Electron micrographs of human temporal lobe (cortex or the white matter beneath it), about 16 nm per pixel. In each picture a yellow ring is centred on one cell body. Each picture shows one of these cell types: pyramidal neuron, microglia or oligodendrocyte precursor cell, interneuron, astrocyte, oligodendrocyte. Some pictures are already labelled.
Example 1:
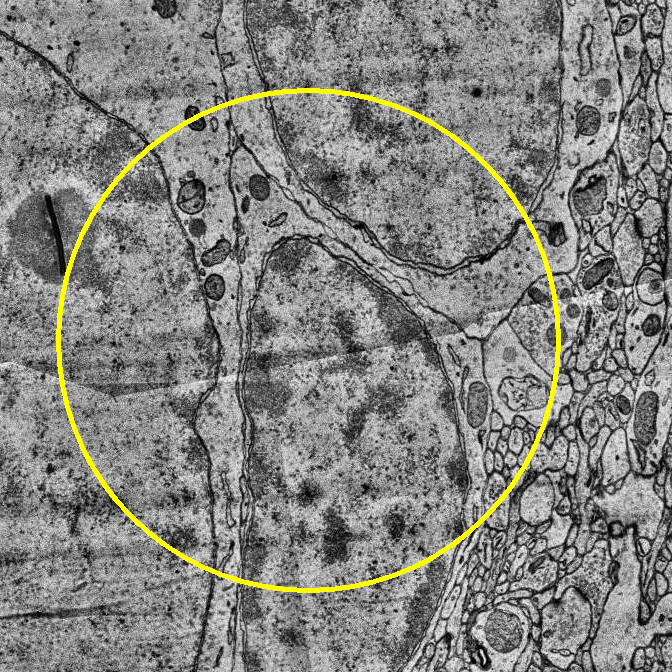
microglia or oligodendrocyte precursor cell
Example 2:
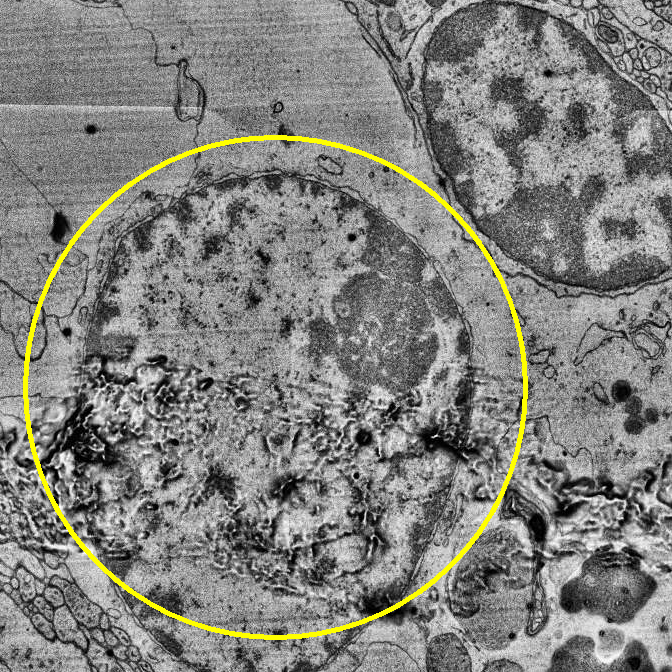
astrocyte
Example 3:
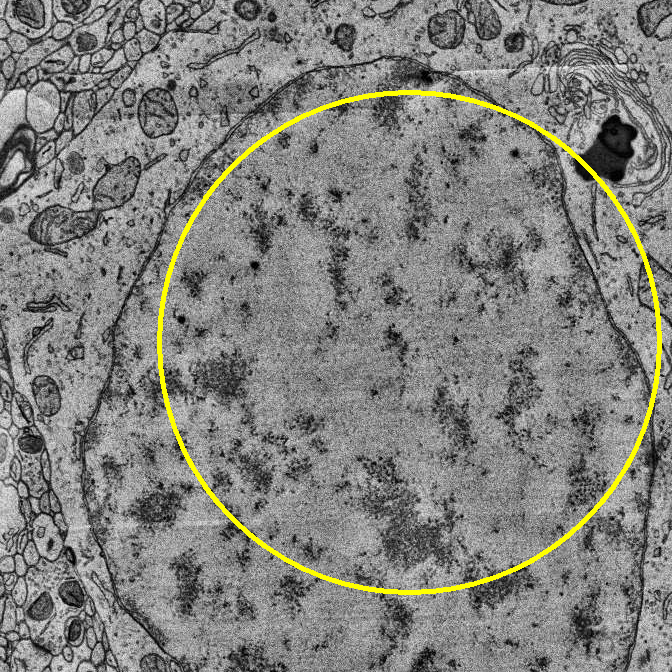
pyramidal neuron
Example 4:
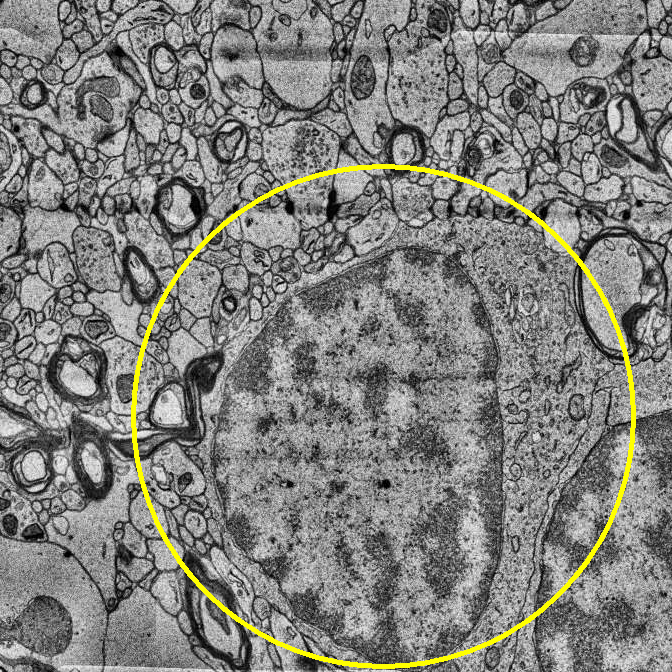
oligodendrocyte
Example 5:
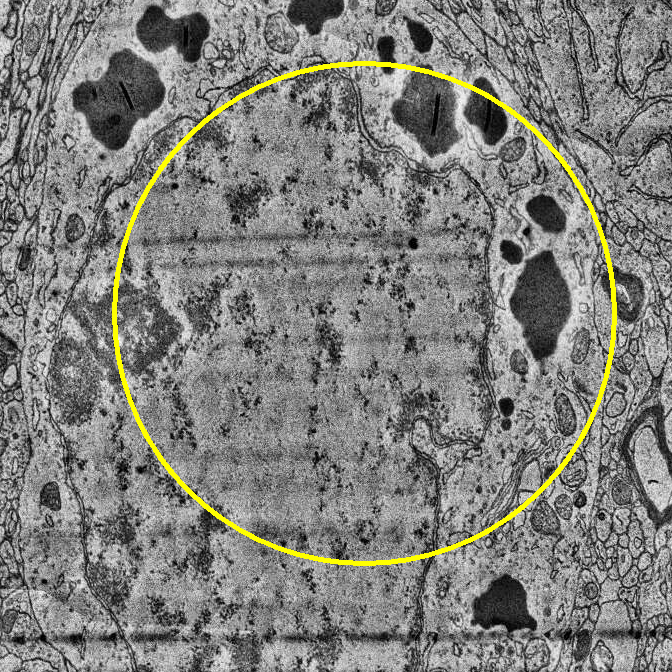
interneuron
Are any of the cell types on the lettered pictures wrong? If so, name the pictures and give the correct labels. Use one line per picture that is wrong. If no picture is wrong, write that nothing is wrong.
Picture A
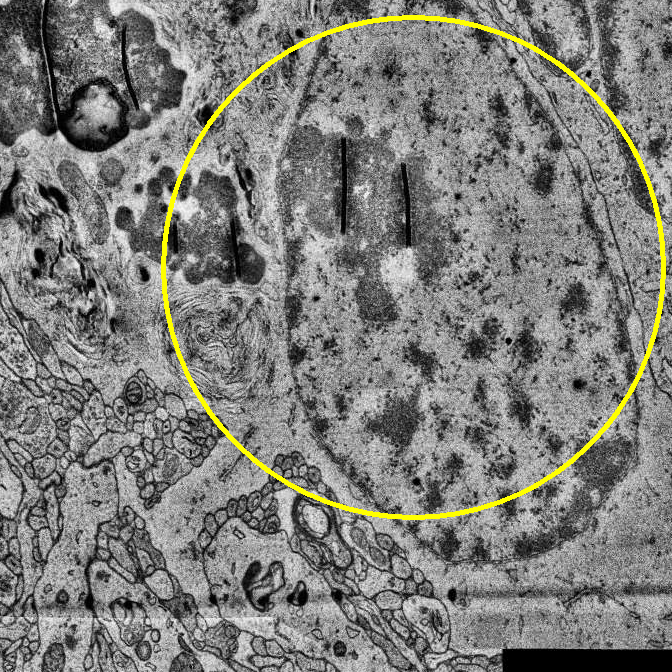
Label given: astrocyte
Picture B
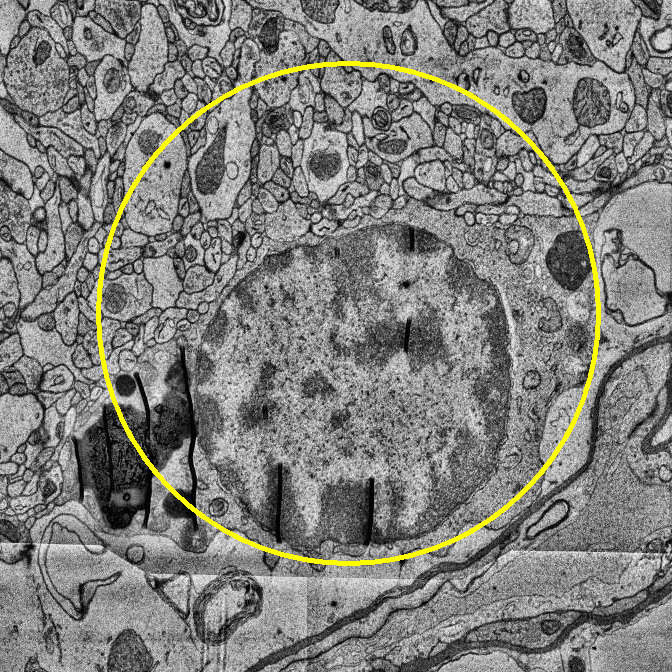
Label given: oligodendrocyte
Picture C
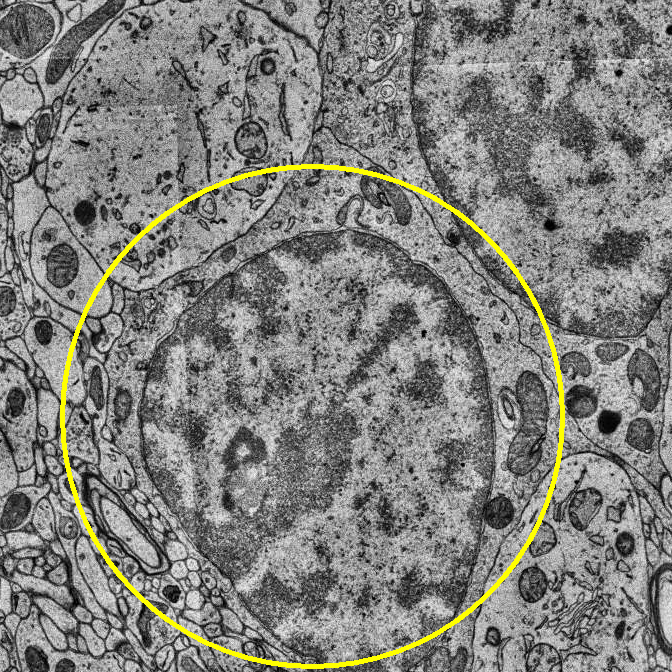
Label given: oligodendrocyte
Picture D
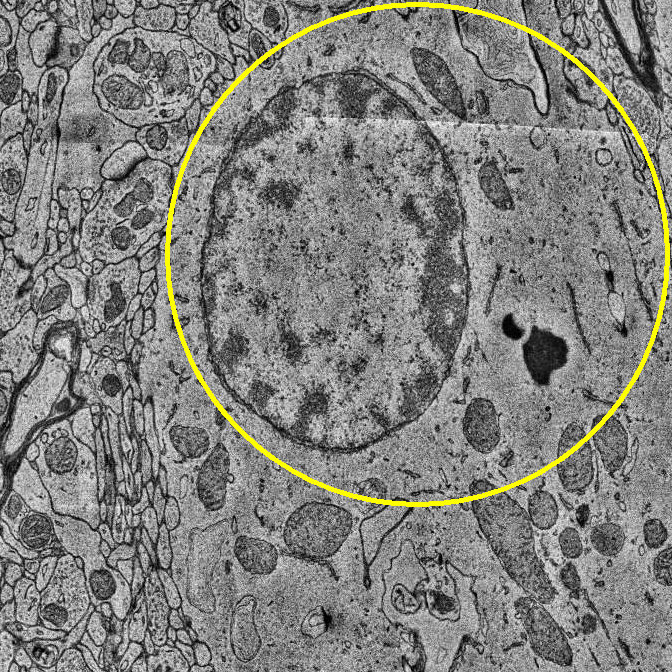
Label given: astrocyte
None of the labels needs changing.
